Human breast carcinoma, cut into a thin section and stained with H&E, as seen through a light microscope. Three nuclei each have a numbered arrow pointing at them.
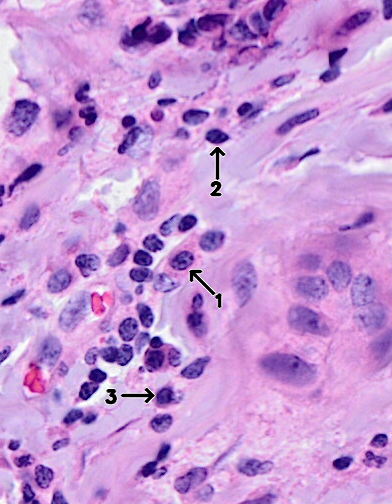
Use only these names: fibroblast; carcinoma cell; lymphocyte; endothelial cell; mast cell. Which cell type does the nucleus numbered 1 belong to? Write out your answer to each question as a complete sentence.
Heads up, the cell numbered 1 is a mast cell.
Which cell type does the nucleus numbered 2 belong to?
The numbered cell 2 in this field is a lymphocyte.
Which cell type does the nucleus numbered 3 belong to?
Marked with the number 3, this cell is a lymphocyte.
